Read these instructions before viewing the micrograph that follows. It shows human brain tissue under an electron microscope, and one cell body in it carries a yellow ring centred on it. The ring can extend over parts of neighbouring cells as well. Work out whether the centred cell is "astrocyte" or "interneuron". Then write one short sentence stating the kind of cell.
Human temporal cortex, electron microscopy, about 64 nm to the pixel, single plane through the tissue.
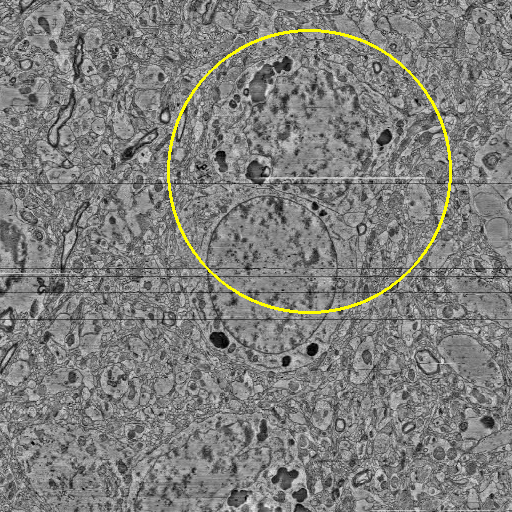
The ringed cell is an interneuron.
